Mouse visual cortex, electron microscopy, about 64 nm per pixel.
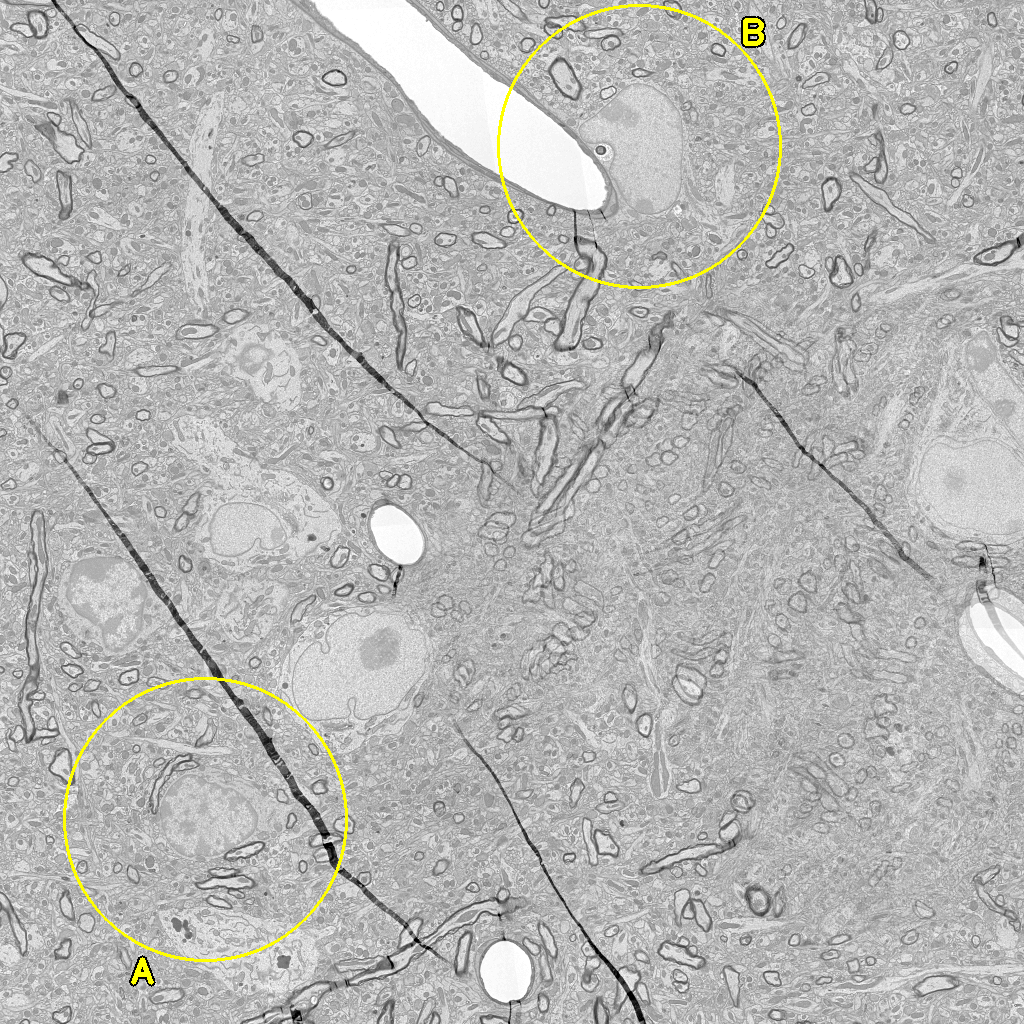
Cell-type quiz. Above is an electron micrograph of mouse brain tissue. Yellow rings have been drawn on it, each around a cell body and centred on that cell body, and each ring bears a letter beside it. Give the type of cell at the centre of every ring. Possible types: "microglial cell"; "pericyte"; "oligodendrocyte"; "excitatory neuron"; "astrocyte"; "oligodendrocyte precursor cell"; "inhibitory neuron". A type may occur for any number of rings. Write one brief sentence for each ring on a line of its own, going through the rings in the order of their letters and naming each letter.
Ring A is centred on the cell body of an oligodendrocyte.
Ring B is centred on the cell body of an astrocyte.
